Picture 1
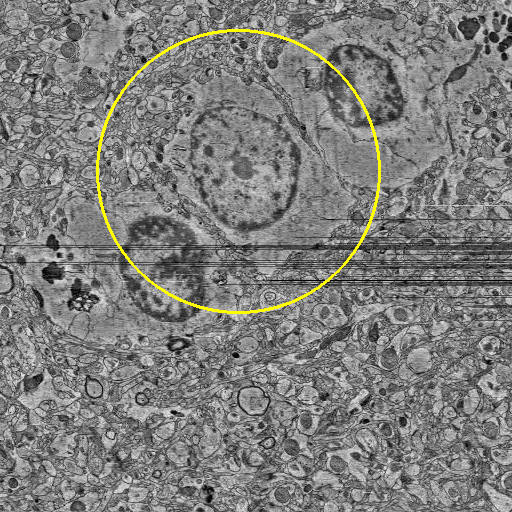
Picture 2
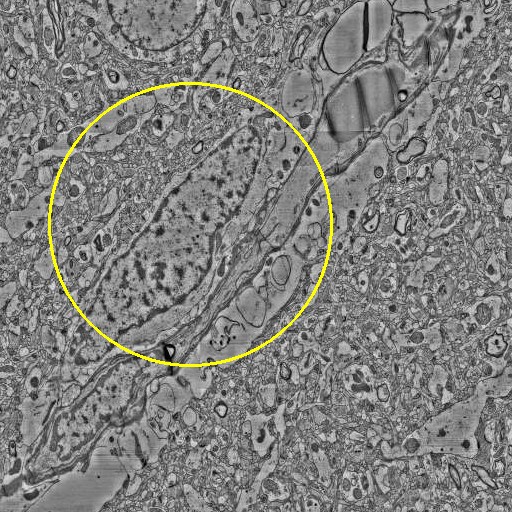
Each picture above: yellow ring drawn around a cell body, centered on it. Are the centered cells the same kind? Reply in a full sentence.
No, the two cells are two kinds of cell.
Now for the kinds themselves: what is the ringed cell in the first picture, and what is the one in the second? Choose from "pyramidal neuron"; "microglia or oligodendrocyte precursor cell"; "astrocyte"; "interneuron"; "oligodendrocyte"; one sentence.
Here the first cell is an astrocyte and the second cell is a microglial cell or oligodendrocyte precursor cell.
